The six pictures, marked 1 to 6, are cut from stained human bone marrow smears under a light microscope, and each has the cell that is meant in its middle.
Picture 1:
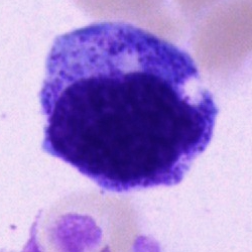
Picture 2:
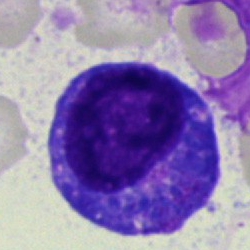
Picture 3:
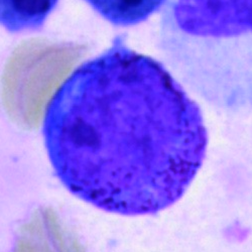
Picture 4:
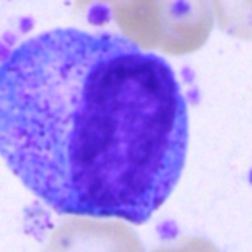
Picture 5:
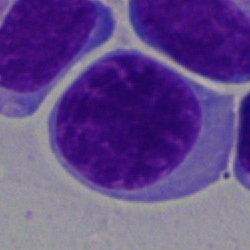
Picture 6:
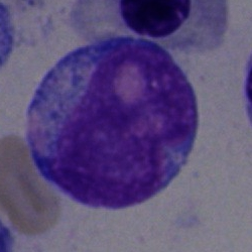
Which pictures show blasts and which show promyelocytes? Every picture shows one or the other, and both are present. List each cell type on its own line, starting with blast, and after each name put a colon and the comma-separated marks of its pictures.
blast: 5, 6
promyelocyte: 1, 2, 3, 4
